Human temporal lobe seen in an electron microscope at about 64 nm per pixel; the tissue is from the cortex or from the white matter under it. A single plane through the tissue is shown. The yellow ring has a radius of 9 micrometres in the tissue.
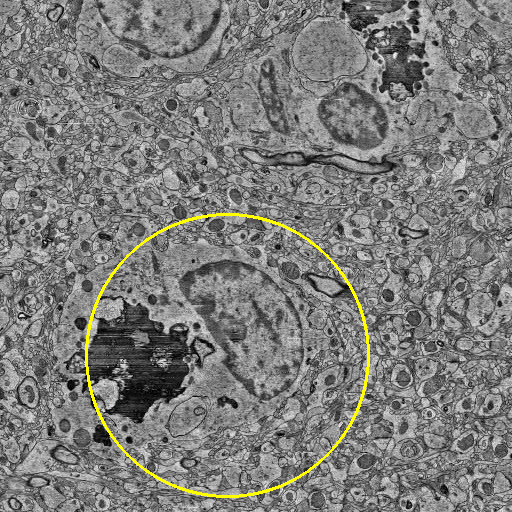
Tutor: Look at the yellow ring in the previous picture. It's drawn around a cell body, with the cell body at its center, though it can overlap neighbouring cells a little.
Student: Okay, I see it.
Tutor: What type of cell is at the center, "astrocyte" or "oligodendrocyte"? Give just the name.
astrocyte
